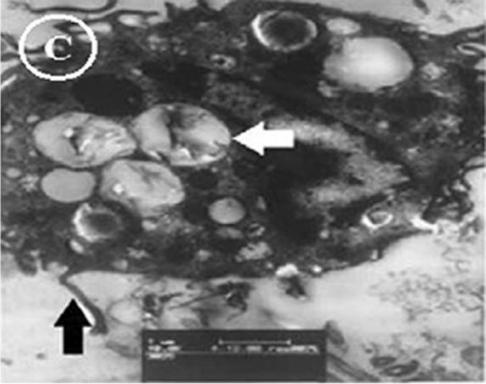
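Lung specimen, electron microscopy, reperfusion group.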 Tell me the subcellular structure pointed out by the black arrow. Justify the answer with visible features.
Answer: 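A long thin cytoplasmic process extends from the lower edge of the cell. That points to this answer: Long pseudopodia.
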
